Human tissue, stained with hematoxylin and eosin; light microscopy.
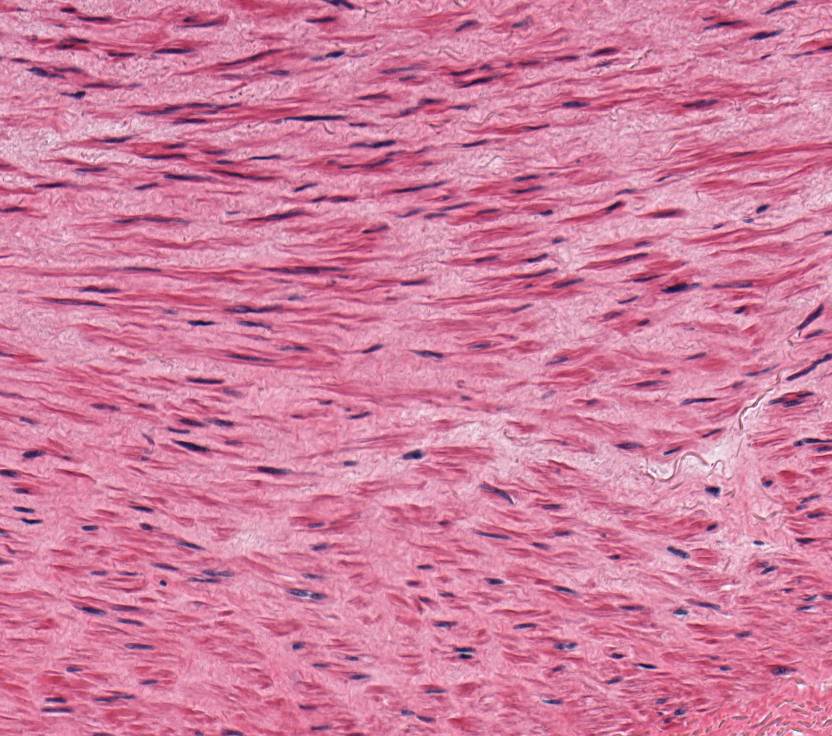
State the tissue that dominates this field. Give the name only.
tunica media of an artery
